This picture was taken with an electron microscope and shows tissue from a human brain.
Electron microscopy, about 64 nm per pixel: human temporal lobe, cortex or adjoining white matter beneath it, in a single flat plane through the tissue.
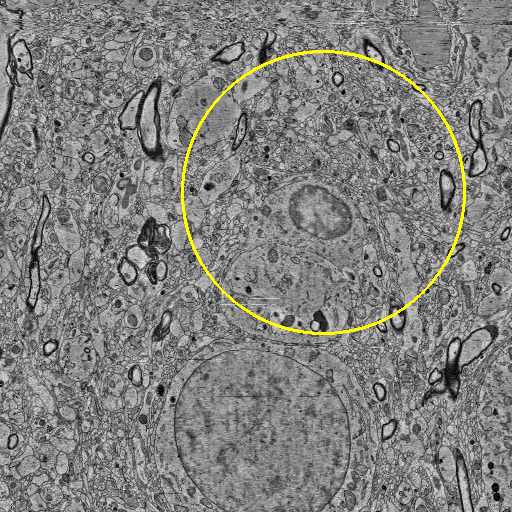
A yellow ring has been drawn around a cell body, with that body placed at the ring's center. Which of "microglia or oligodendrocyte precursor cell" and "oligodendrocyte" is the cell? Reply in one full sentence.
In this picture, an oligodendrocyte is the cell at the center of the yellow ring.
